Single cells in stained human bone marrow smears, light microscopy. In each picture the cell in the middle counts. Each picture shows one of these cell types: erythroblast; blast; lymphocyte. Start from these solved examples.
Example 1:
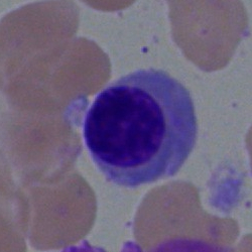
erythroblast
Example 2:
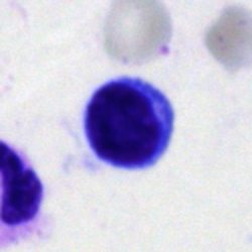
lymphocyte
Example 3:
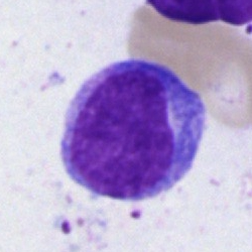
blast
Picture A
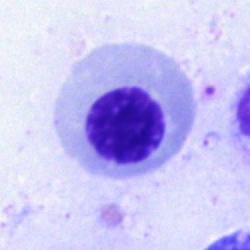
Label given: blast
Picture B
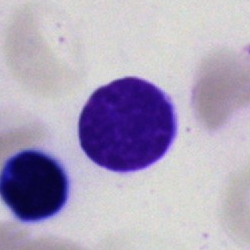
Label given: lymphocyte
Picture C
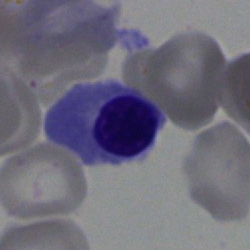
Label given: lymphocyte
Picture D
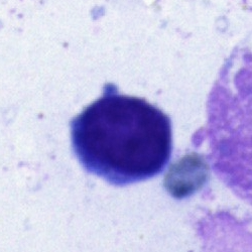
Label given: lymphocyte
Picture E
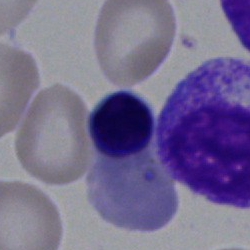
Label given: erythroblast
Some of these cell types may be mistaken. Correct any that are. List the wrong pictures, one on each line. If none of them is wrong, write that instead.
Wrong: A (blast); correct: erythroblast
Wrong: C (lymphocyte); correct: erythroblast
